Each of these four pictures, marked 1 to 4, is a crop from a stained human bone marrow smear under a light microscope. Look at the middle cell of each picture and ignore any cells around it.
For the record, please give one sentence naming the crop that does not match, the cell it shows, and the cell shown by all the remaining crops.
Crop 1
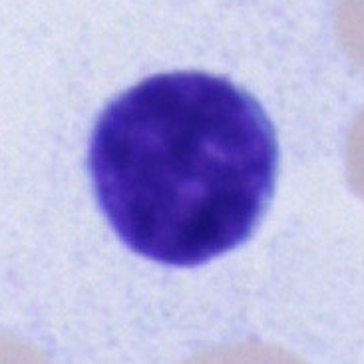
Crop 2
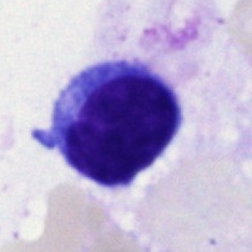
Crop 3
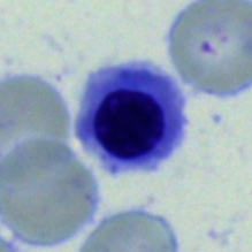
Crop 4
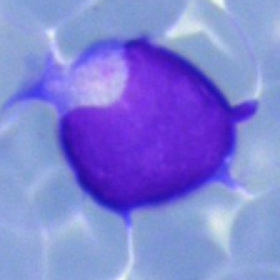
The different one is crop 3, which is an erythroblast; the rest all show lymphocytes.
